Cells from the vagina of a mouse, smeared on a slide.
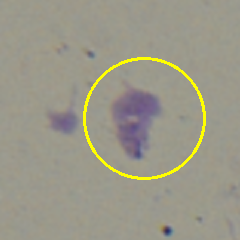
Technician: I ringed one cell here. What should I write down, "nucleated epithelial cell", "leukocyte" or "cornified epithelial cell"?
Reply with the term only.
cornified epithelial cell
